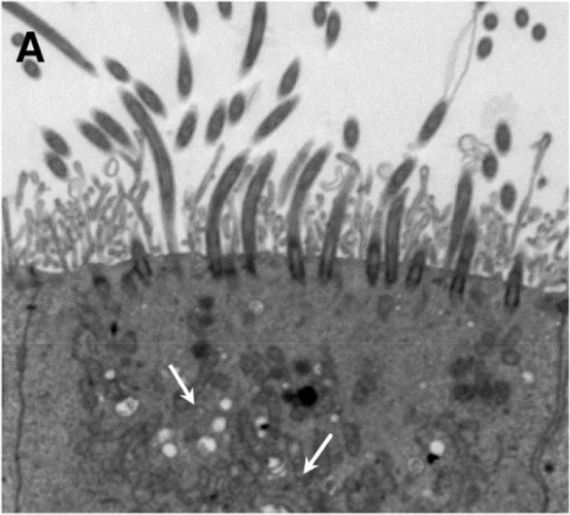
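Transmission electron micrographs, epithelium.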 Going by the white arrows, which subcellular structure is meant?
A: Mitochondrion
